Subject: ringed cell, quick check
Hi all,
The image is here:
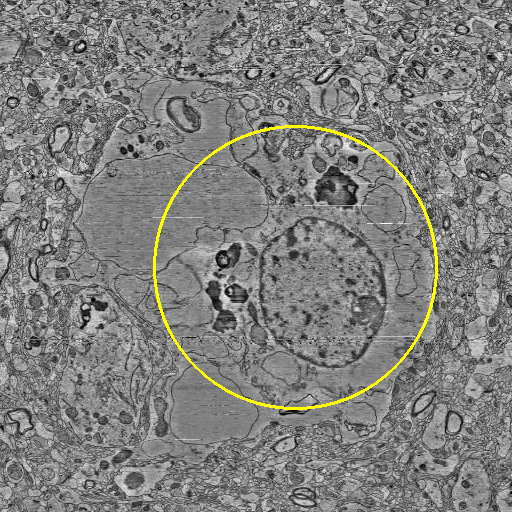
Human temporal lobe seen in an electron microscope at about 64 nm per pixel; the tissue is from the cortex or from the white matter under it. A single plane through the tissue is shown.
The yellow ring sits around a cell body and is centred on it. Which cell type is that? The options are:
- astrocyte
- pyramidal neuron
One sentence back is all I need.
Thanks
That ringed cell is an astrocyte.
